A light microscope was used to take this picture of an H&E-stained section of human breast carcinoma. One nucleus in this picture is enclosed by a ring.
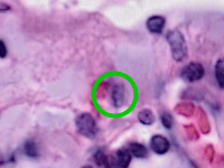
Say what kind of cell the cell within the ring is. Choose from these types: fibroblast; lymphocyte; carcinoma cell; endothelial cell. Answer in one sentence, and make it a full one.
In the stained section, the cell within the ring is an endothelial cell.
